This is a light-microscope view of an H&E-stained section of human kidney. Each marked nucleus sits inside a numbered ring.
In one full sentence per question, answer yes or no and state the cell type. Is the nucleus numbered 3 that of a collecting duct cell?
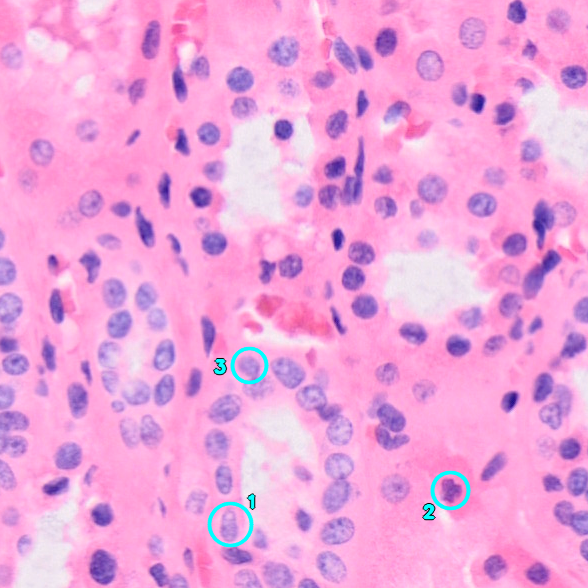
Yes, on this slide, the cell with number 3 is a collecting duct cell.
